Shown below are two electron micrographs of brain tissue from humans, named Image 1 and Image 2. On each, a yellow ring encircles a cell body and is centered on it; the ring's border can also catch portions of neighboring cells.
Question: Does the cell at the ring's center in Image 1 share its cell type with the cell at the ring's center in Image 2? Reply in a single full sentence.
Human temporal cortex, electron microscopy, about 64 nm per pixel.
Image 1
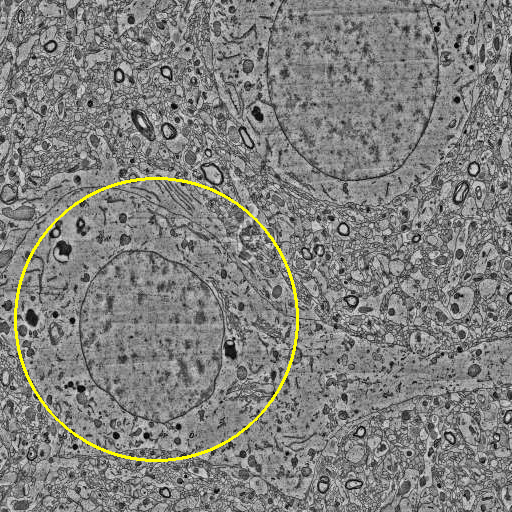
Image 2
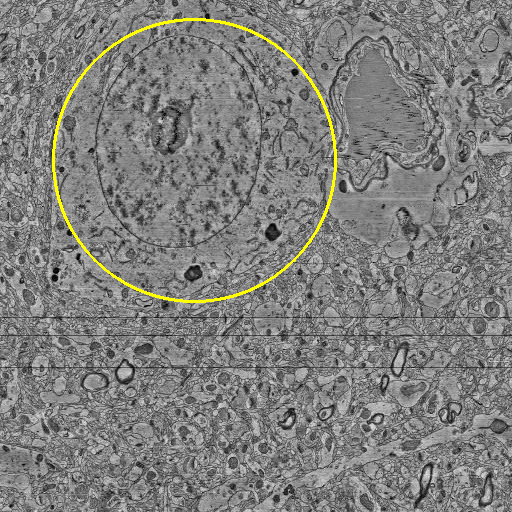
Yes, the two cells at the ring centers, in Image 1 and Image 2, share one cell type.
